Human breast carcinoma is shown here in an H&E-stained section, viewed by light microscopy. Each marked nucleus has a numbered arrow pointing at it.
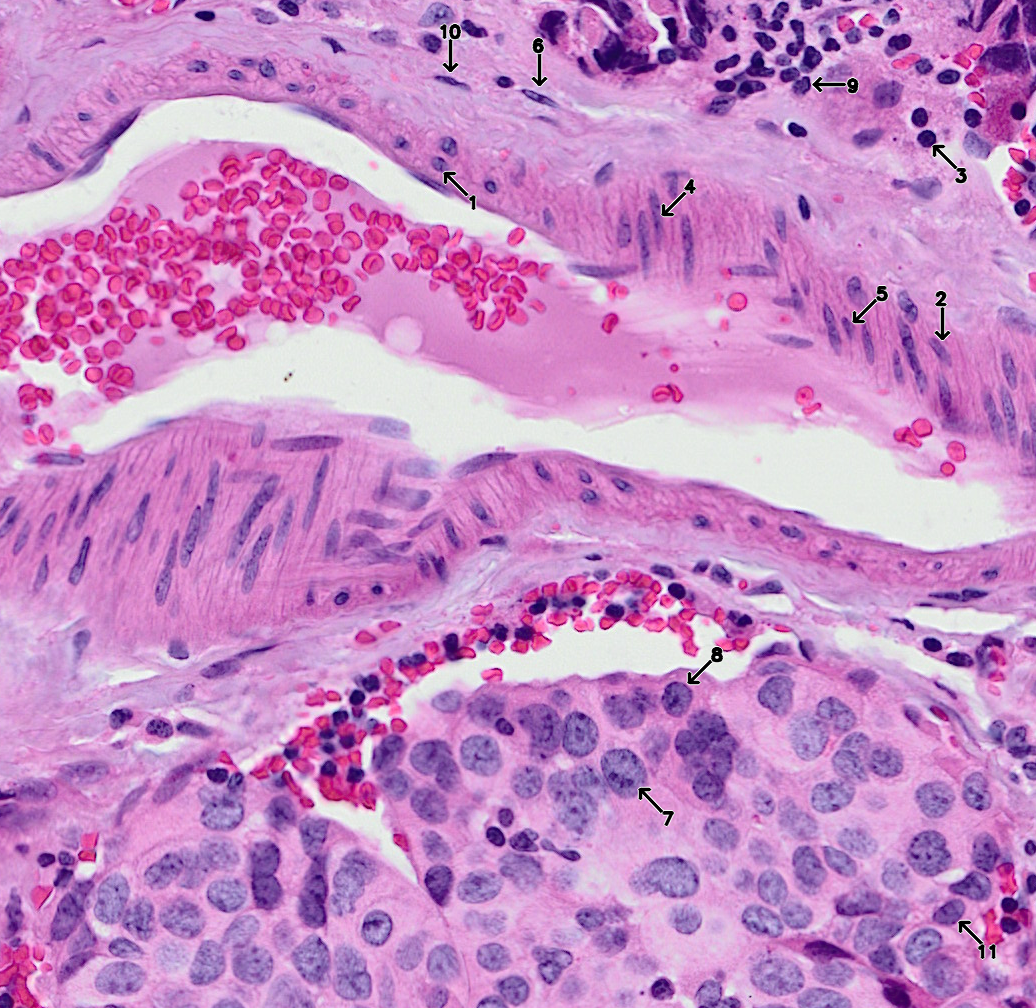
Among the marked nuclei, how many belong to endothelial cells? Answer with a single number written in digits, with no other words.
4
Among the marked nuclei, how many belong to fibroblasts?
2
